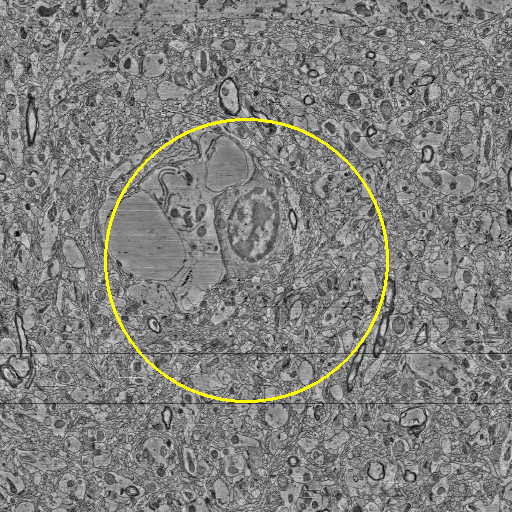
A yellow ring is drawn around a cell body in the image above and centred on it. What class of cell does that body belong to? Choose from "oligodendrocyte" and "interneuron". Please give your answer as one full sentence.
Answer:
The yellow ring above is centred on the cell body of an oligodendrocyte.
